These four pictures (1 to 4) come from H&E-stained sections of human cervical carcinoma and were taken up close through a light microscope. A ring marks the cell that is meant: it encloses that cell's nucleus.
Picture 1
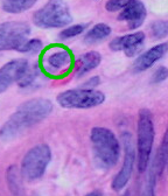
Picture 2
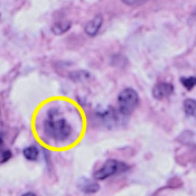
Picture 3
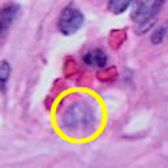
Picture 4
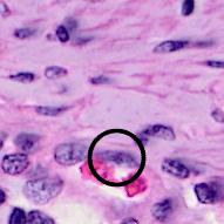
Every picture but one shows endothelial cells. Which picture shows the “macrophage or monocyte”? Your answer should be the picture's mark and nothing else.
2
